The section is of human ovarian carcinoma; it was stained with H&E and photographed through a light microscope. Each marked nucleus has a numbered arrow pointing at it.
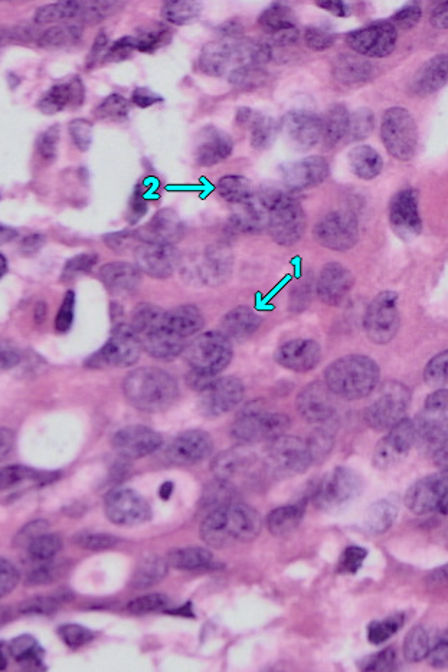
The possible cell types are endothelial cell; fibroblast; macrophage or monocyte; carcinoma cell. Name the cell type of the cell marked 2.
macrophage or monocyte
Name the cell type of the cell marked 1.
carcinoma cell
